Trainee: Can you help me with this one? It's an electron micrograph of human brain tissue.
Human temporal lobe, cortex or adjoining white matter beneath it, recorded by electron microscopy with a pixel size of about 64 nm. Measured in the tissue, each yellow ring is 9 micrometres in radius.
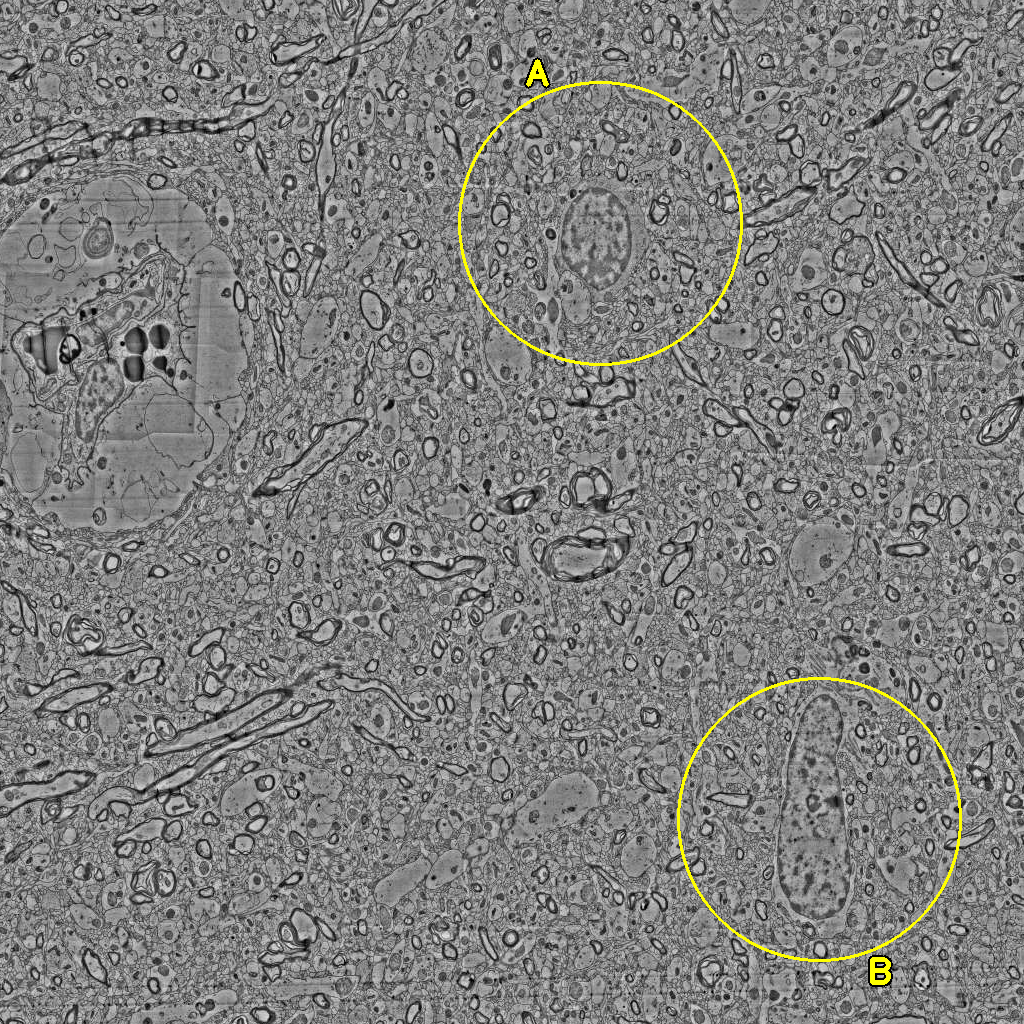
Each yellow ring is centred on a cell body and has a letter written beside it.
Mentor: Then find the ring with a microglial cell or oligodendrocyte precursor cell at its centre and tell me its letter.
B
